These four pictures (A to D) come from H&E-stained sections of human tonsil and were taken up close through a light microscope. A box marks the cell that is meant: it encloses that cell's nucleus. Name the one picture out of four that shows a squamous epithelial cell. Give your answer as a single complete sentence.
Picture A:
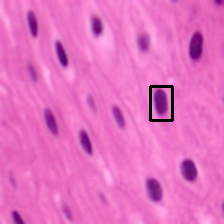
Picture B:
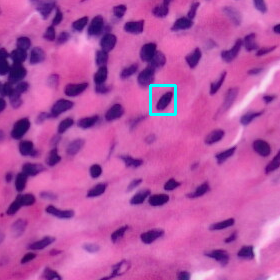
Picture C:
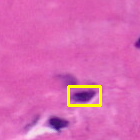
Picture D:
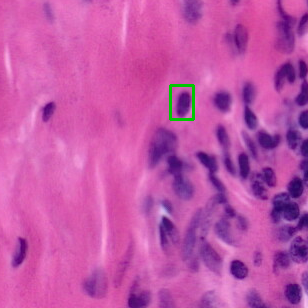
The squamous epithelial cell is the one in picture A.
